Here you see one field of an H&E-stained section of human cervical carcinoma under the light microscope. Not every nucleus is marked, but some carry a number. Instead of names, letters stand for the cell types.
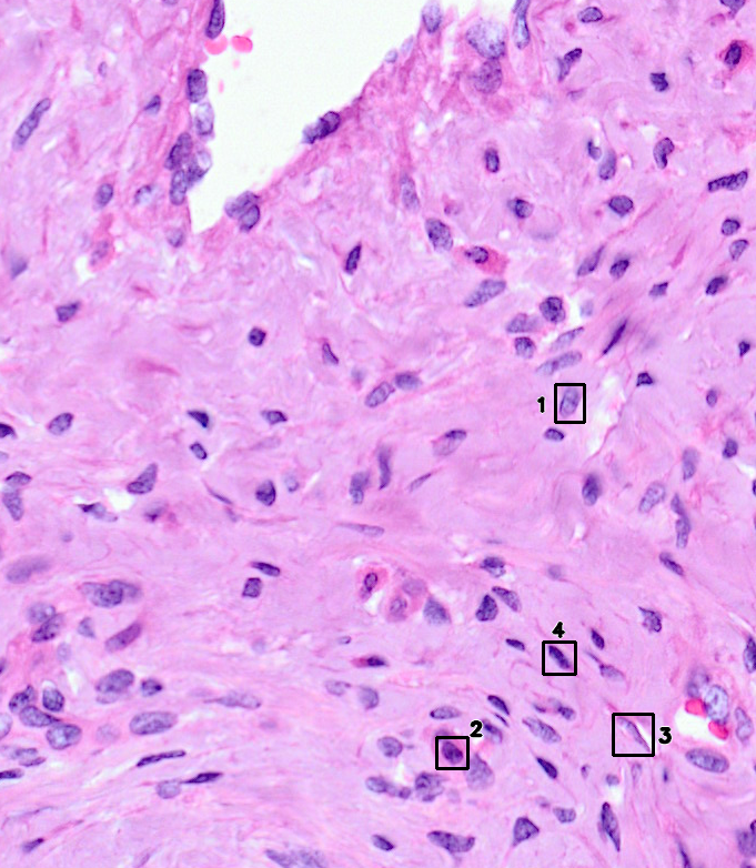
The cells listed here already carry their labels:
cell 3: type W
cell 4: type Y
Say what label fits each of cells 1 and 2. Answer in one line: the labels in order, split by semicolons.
type Y; type W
